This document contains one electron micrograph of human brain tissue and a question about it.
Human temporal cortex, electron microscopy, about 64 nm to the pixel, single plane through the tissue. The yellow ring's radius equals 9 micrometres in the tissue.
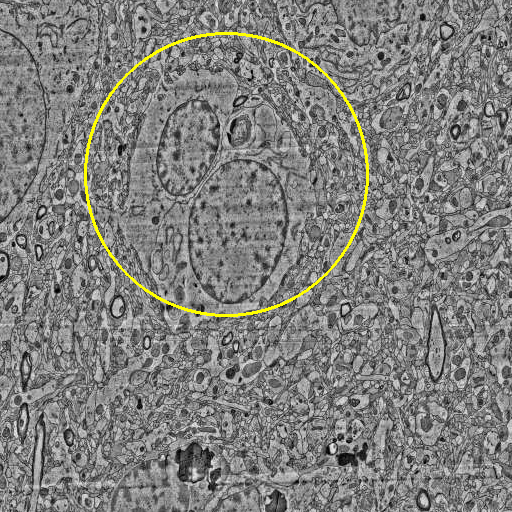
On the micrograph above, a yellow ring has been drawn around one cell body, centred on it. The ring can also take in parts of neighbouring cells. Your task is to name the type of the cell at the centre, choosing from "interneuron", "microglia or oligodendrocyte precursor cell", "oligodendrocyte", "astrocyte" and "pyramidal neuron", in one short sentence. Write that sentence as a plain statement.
Here the ring is centred on an astrocyte.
